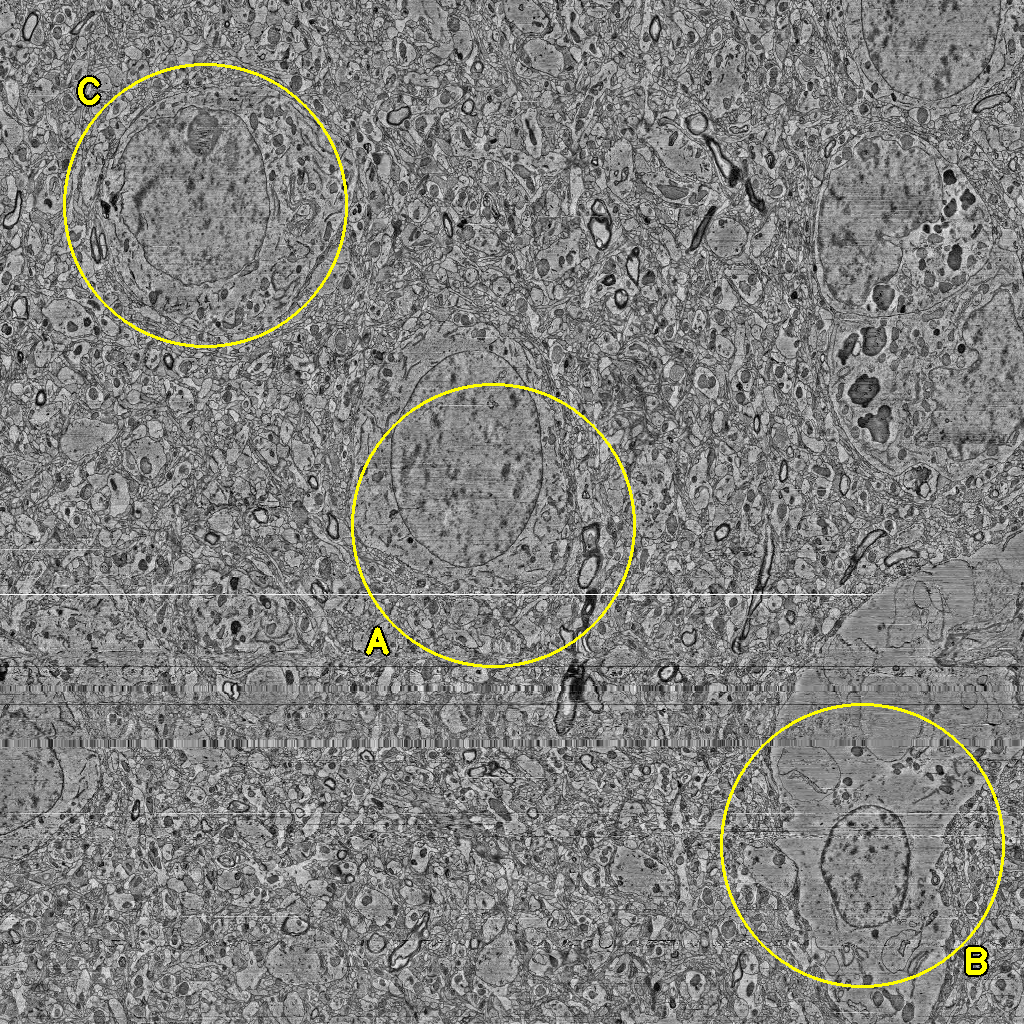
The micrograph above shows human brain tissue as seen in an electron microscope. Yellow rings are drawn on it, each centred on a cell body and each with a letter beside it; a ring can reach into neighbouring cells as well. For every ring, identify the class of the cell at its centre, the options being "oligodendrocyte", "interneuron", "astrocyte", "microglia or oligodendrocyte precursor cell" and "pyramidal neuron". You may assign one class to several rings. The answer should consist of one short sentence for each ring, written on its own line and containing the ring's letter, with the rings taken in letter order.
The ring lettered A is centred on a pyramidal neuron.
The ring lettered B is centred on an astrocyte.
The ring lettered C is centred on an interneuron.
